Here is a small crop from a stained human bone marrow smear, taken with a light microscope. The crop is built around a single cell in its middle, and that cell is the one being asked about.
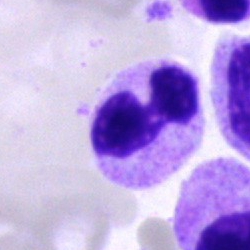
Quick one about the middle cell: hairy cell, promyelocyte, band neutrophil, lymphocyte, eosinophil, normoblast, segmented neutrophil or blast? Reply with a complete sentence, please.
This crop is built around a segmented neutrophil at its centre.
